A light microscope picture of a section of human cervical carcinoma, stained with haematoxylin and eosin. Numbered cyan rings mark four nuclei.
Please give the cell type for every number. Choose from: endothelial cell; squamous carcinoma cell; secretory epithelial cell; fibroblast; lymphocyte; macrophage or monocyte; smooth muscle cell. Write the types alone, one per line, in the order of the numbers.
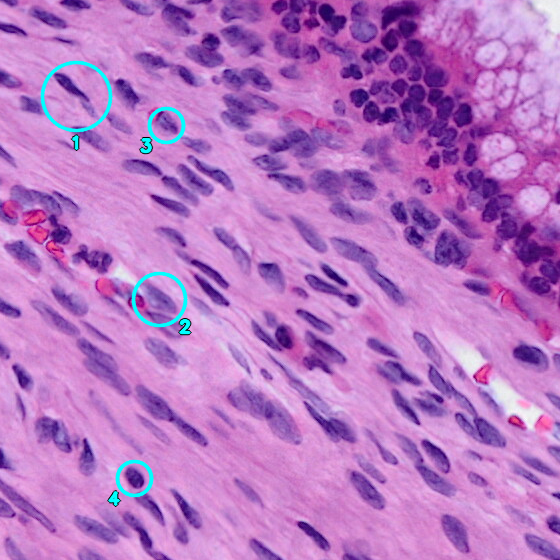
fibroblast
endothelial cell
endothelial cell
lymphocyte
